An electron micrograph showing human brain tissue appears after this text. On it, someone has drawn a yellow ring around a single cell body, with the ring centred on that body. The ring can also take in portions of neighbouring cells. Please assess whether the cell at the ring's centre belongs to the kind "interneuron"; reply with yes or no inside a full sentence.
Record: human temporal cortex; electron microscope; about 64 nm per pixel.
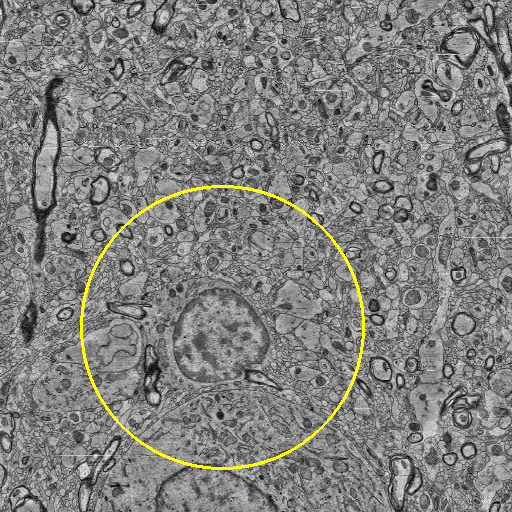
No, in this micrograph the cell at the centre of the ring is of another kind.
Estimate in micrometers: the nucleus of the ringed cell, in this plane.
The nucleus measures about 6 micrometers across in this plane.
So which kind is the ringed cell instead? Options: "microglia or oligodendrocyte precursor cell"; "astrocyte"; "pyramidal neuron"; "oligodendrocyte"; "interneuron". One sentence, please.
In this picture, the ring is centred on an oligodendrocyte.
